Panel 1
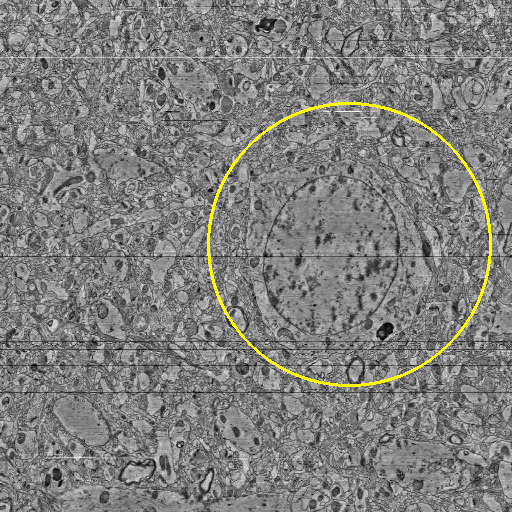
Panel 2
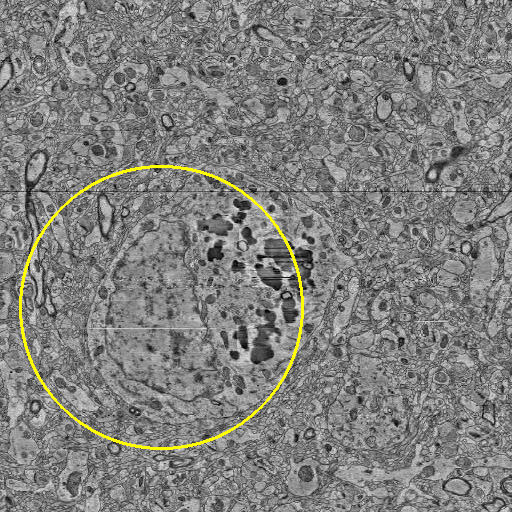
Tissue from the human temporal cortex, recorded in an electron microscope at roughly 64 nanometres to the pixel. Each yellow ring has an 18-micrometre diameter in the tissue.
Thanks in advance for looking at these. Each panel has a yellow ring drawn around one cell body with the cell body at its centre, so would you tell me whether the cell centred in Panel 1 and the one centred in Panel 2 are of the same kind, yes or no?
no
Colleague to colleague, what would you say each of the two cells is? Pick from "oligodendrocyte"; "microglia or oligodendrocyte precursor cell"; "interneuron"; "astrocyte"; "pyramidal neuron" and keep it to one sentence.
The cell in the first picture is a pyramidal neuron; the second picture's cell is an interneuron.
